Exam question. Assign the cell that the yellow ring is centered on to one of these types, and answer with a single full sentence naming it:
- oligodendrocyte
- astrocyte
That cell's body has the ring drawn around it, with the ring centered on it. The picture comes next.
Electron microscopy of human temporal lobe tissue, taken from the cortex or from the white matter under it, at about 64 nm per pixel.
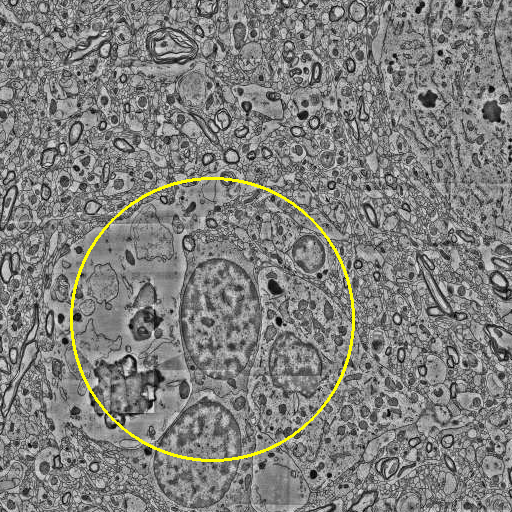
In the micrograph, the cell the yellow ring is centered on is an oligodendrocyte.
